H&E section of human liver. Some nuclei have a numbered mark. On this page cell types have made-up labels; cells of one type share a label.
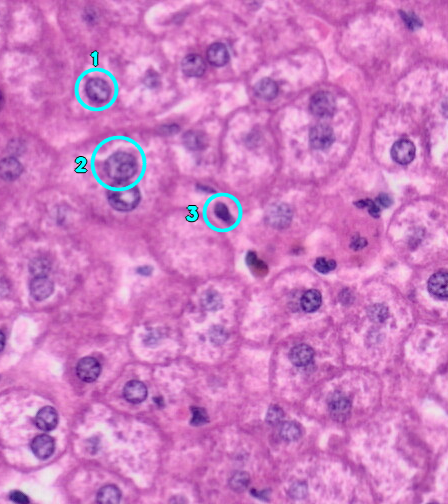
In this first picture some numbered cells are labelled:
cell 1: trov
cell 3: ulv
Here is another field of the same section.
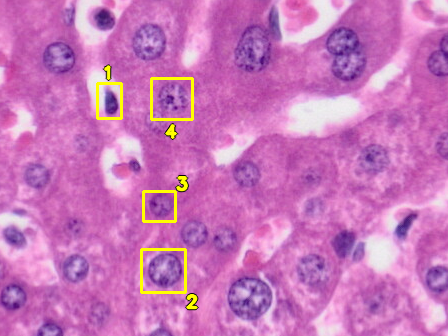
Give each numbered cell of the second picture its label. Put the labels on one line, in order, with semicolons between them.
ulv; trov; trov; trov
